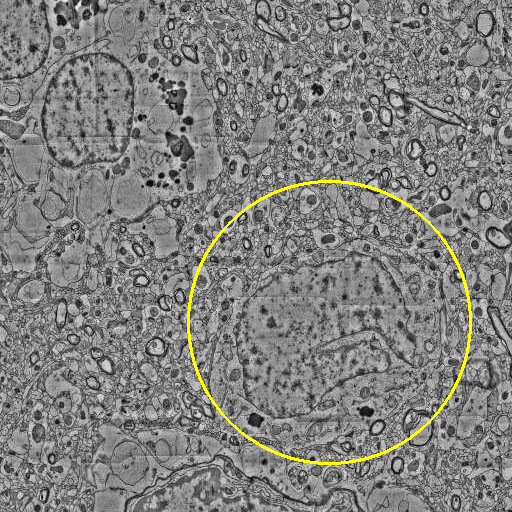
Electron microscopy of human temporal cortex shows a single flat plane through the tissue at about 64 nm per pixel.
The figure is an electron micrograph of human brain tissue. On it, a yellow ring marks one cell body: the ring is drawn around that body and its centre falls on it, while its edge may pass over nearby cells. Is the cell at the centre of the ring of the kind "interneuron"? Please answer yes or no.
yes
